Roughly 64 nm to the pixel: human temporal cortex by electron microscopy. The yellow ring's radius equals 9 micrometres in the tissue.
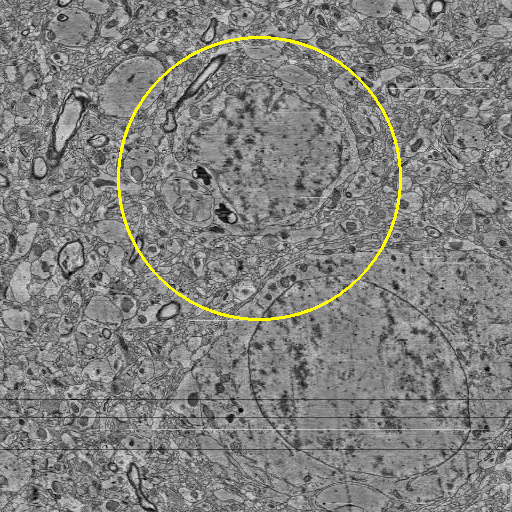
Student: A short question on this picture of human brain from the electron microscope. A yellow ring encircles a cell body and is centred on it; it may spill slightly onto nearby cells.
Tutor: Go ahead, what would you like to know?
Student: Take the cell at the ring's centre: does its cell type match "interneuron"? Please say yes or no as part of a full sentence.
Yes, in the picture, the cell at the ring's centre has that cell type.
